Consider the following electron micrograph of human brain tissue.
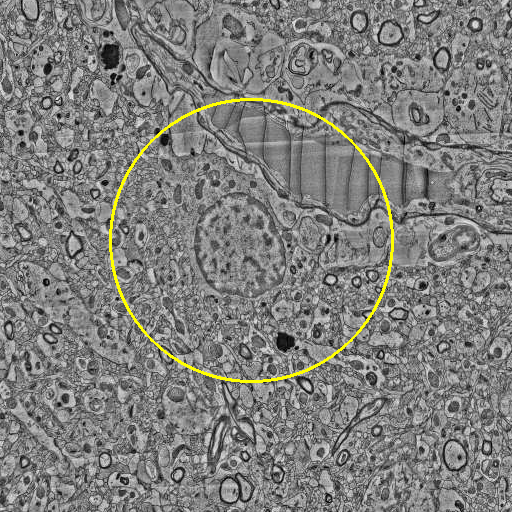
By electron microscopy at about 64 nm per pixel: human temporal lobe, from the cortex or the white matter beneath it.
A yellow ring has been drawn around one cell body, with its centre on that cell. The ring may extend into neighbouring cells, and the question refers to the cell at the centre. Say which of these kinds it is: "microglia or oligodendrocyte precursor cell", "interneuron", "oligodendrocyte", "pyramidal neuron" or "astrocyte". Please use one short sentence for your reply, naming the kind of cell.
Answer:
The centre of the ring falls on an oligodendrocyte.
